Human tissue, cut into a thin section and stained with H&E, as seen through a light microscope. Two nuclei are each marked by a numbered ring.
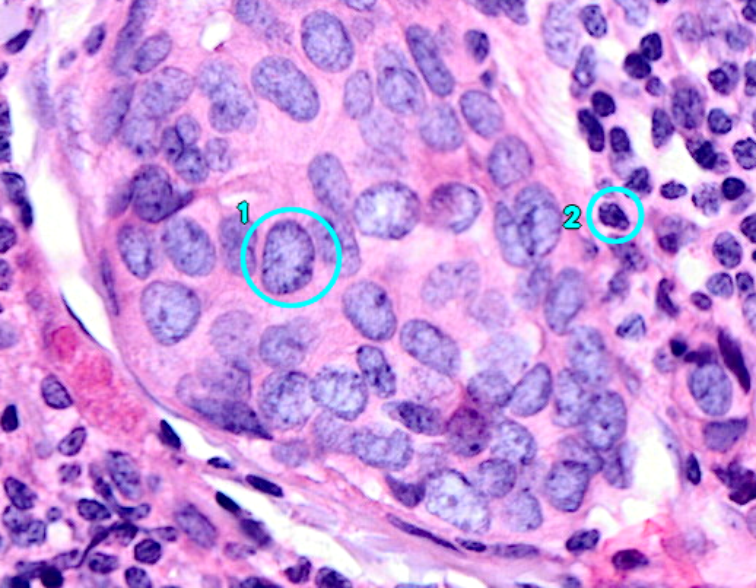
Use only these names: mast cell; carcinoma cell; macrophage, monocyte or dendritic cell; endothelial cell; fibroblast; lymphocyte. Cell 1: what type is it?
carcinoma cell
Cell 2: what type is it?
lymphocyte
